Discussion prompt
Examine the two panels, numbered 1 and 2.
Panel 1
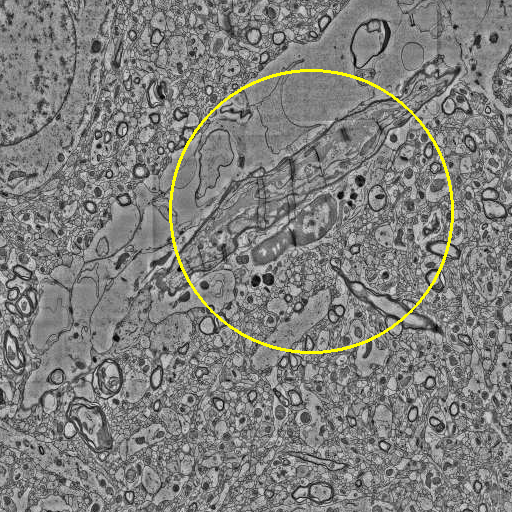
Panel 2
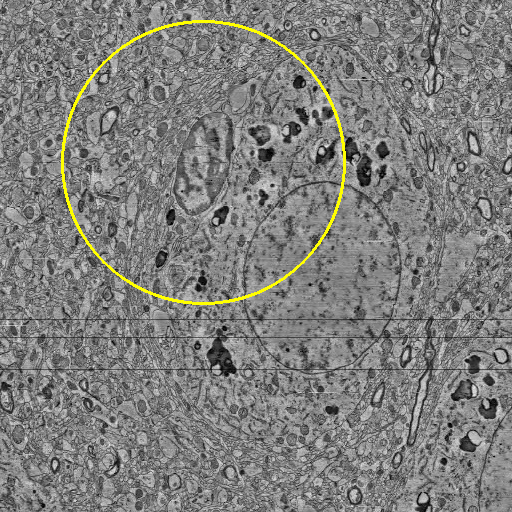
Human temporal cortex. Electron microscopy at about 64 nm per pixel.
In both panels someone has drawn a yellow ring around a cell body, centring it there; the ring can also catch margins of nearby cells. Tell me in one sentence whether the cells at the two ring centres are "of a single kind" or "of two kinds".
Taken together, the two cells centred in the rings of Panels 1 and 2 are of a single kind.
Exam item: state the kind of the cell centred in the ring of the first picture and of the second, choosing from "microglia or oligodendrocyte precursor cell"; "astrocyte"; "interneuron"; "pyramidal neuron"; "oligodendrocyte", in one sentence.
The cell at the ring centre is a microglial cell or oligodendrocyte precursor cell in both pictures.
